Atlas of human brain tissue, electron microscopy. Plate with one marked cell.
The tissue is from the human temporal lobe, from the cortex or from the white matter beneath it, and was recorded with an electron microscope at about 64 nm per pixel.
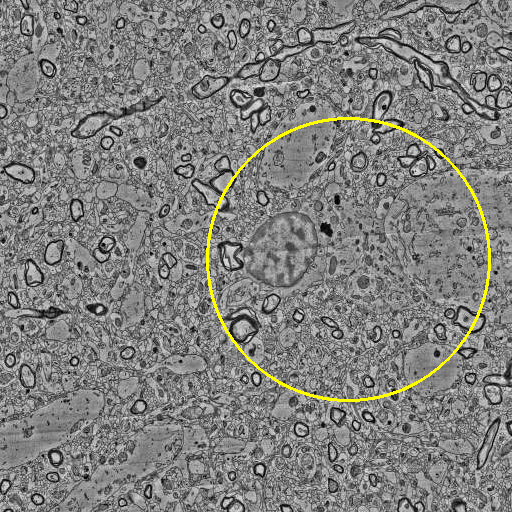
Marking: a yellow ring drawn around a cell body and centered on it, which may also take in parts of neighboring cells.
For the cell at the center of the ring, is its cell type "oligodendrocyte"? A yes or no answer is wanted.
Yes, that is its cell type.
